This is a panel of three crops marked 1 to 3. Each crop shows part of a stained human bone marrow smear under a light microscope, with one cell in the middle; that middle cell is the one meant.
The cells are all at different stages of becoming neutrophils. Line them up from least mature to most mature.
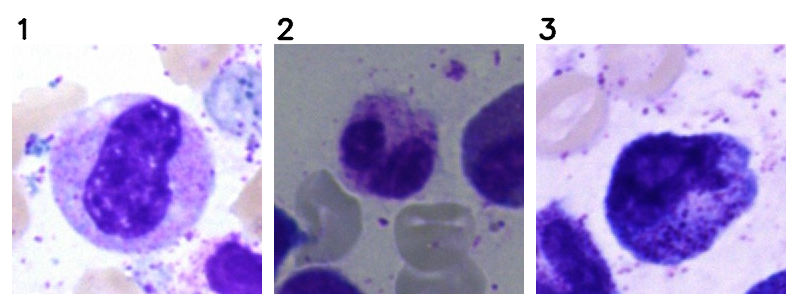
3, 1, 2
